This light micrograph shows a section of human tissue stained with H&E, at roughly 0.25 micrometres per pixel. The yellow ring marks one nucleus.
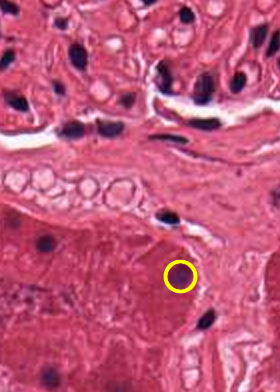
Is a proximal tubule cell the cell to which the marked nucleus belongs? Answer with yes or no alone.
yes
